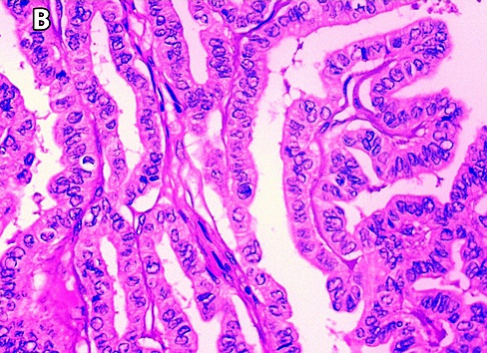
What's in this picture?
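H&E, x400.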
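This is a neoplasm with papillary architecture: slender projections with thin pink fibrous cores covered by columnar epithelial cells. The lining cells have enlarged oval nuclei that are crowded and overlap one another instead of forming a single orderly row. The cytoplasm is pink, and clear spaces separate neighbouring projections.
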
